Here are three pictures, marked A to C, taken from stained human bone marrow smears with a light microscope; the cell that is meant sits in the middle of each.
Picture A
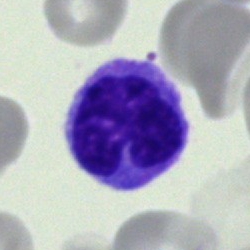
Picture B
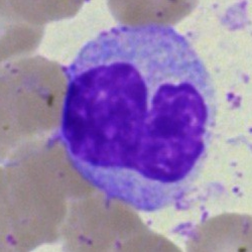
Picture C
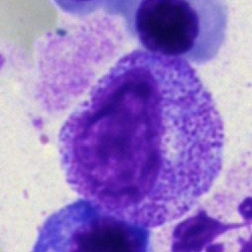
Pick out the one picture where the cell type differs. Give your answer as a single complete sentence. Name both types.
Picture C is the odd one out: it shows a myelocyte, while the others show monocytes.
